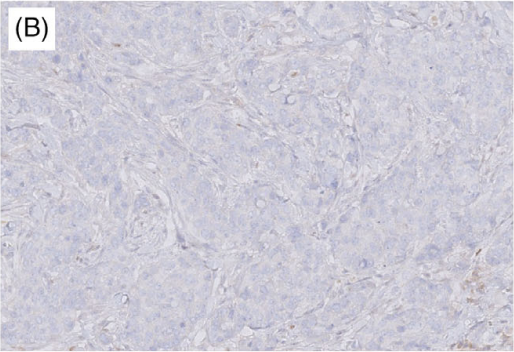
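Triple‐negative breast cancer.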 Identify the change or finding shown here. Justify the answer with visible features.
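Sheets of tumour cells with blue nuclei only. No brown nuclear stain in the tumour cells. So: Complete loss of staining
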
